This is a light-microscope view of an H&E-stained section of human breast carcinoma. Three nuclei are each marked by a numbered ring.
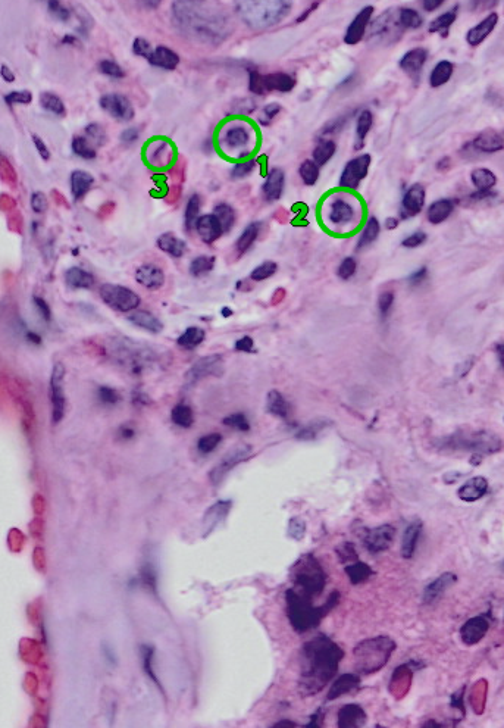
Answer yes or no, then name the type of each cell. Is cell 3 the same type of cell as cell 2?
No, the cell at number 3 is an endothelial cell, and the cell at number 2 is a lymphocyte.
